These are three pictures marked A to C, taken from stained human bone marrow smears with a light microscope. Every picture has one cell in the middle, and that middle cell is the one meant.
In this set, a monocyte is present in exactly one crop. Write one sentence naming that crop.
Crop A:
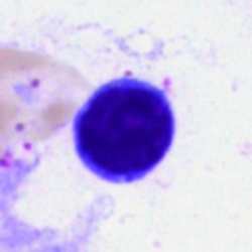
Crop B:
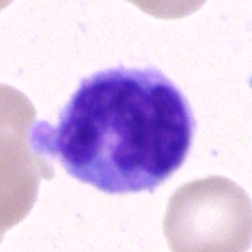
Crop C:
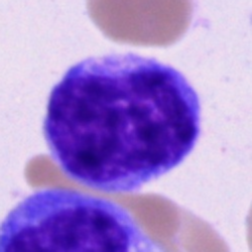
It is the cell in crop B that is a monocyte.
